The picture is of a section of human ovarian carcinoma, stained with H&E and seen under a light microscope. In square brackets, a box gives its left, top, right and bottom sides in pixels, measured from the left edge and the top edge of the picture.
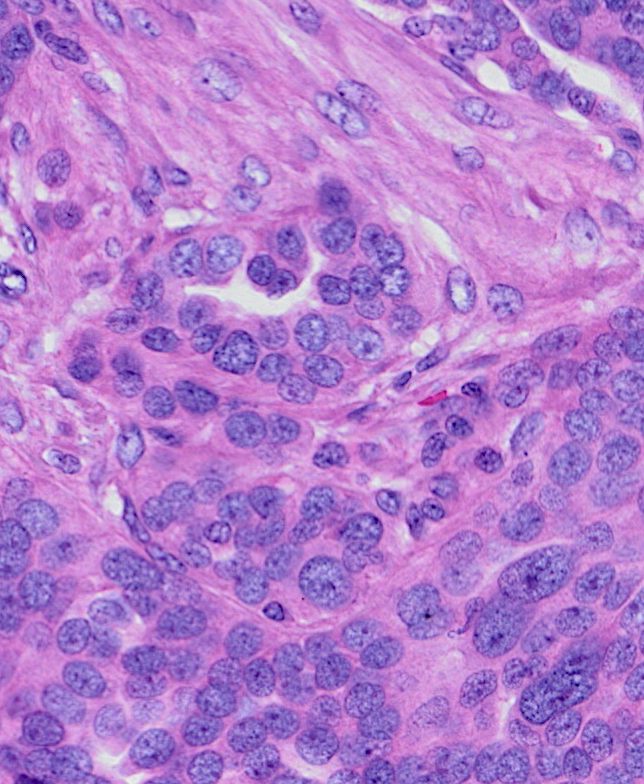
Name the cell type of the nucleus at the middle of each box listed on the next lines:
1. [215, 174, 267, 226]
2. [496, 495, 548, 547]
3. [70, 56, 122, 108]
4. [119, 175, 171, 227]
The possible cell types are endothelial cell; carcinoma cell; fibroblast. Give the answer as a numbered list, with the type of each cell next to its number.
1. fibroblast
2. carcinoma cell
3. fibroblast
4. fibroblast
